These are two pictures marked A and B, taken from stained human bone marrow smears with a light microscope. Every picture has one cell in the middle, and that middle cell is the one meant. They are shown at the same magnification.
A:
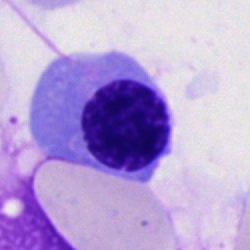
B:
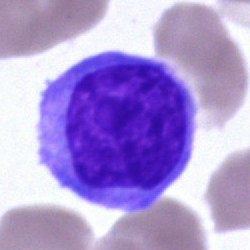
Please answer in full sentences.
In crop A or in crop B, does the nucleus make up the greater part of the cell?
The nucleus fills more of the cell in crop B than in crop A.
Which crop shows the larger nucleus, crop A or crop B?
Larger is the nucleus in crop B, at roughly 2 times the area of the other.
